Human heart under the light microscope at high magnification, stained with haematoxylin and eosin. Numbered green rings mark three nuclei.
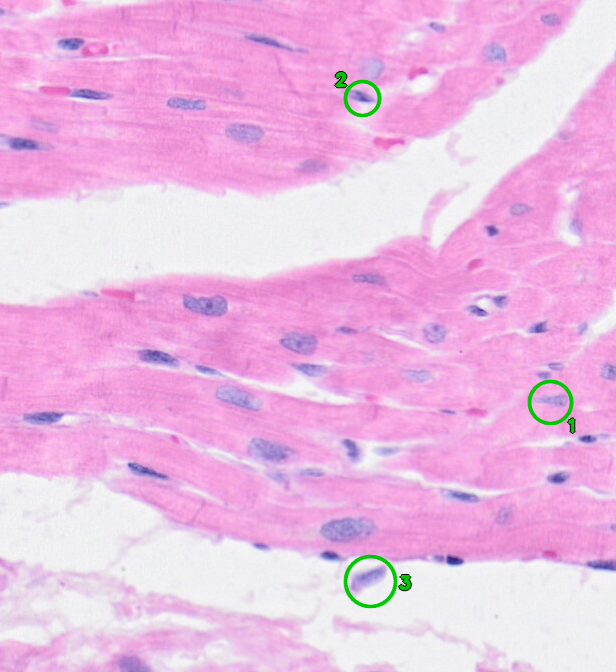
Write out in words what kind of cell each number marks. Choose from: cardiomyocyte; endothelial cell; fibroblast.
Cell 1 is a cardiomyocyte. Cell 2 is an endothelial cell. Cell 3 is a fibroblast.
